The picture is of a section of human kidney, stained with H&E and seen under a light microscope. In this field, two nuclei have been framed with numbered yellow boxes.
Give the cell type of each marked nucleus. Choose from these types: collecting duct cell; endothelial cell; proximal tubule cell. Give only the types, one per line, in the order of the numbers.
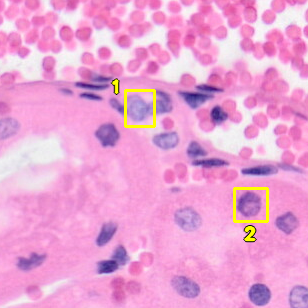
collecting duct cell
proximal tubule cell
